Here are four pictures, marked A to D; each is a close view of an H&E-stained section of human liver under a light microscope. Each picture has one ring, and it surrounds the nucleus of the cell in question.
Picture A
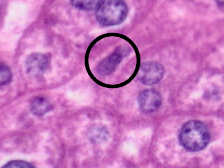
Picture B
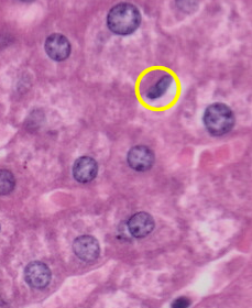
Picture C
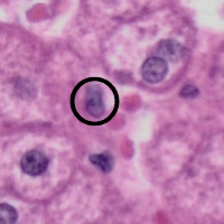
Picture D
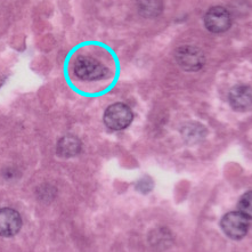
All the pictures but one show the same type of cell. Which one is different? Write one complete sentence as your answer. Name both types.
The different one is picture B; it shows an endothelial cell, whereas all the others show Kupffer cells.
